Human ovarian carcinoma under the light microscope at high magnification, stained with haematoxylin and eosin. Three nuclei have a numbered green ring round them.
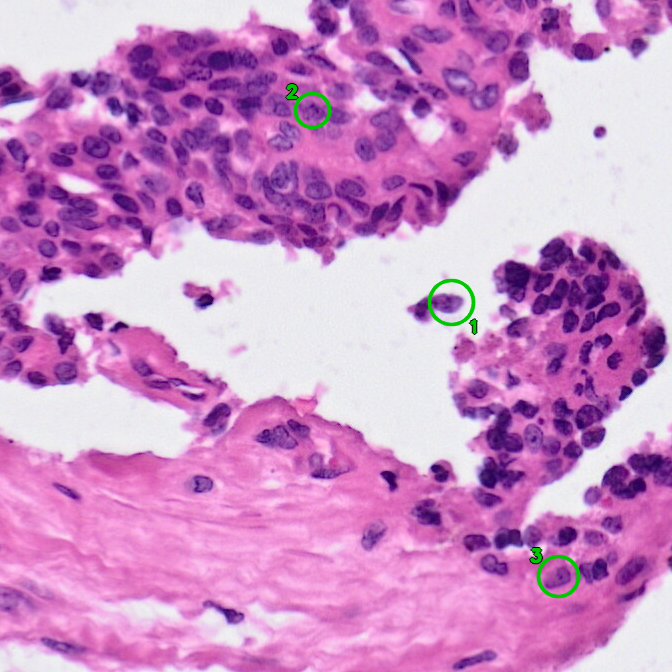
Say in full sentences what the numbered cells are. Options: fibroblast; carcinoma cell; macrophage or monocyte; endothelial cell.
Cell 1 is a carcinoma cell, cell 2 is a carcinoma cell and cell 3 is a macrophage or monocyte.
